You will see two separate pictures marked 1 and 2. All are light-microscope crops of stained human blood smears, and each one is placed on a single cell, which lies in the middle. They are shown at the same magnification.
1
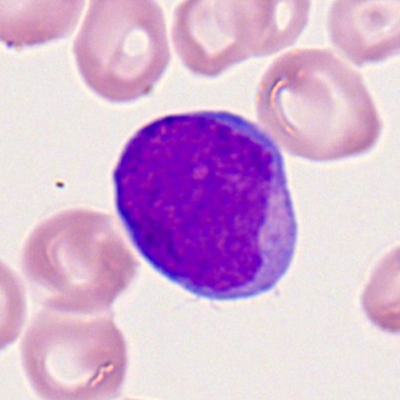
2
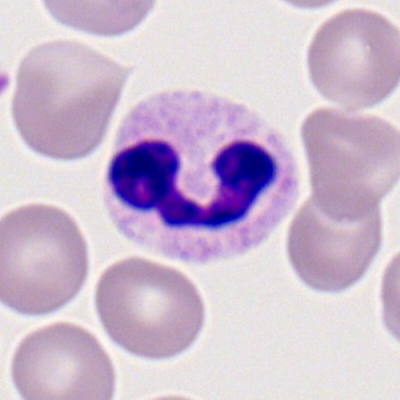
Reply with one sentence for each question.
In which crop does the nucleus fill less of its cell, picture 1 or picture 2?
In picture 2 the nucleus takes up the smaller part of its cell.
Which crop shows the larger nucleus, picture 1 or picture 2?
Picture 1 shows the larger nucleus; it covers about 2.5 times the area of the nucleus in picture 2.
